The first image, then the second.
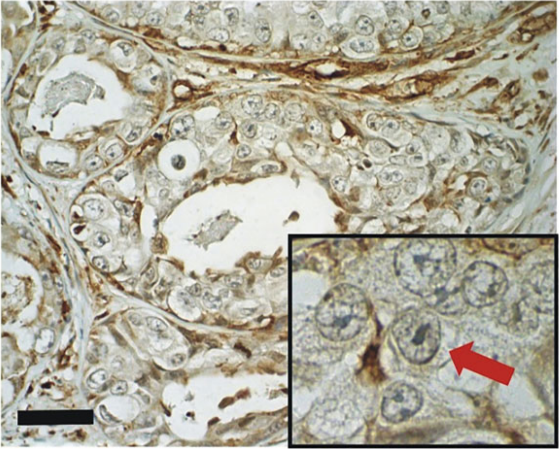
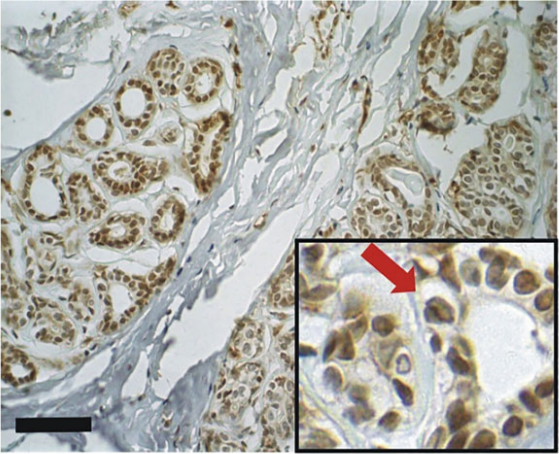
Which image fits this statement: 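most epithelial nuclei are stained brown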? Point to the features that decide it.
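First image: epithelial nuclei are mostly pale blue-grey with brownish cytoplasm.
The second image.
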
